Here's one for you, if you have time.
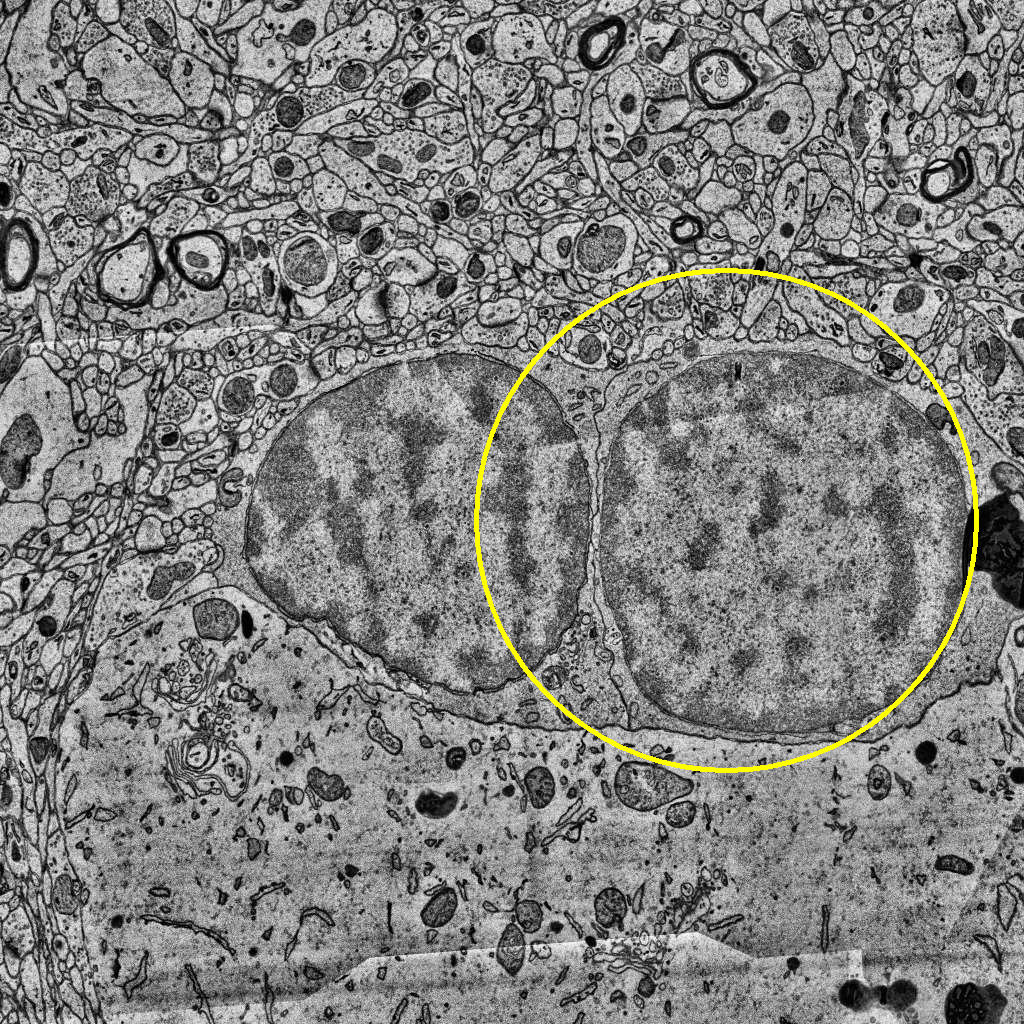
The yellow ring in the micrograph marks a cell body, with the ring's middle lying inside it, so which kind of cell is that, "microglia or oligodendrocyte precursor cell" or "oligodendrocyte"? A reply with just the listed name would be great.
oligodendrocyte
